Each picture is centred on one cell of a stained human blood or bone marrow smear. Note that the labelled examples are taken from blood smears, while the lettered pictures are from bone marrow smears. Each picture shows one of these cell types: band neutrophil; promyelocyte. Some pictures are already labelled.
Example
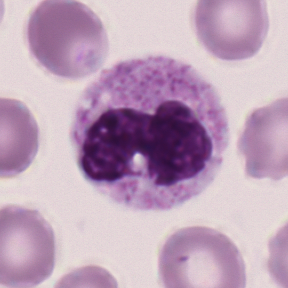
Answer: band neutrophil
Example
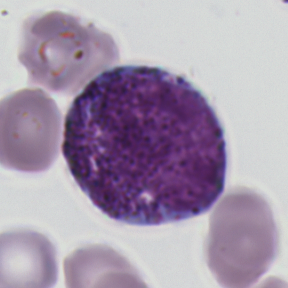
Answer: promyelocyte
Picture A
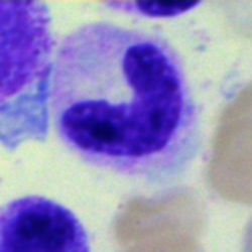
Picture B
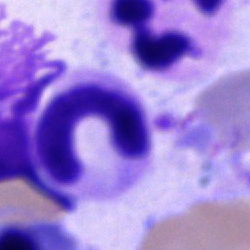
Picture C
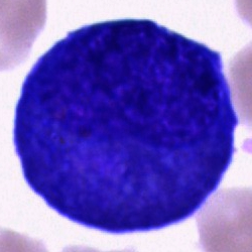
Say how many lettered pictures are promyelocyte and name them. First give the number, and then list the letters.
1, namely C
